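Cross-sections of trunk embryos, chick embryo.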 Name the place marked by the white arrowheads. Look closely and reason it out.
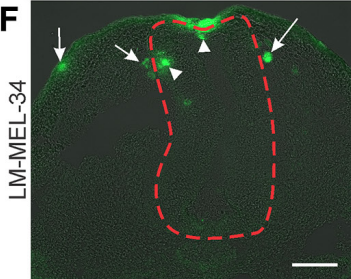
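Inside the neural tube. The green clusters under the arrowheads lie within or on the red dashed outline. One bright cluster sits at the dorsal midline of the outlined tube.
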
